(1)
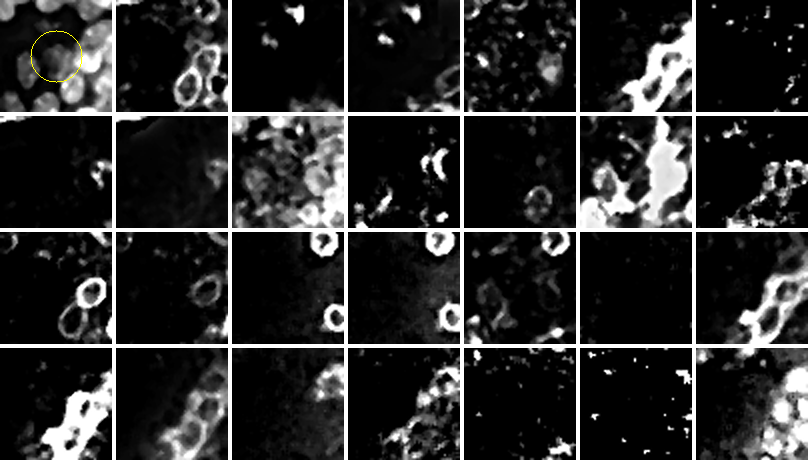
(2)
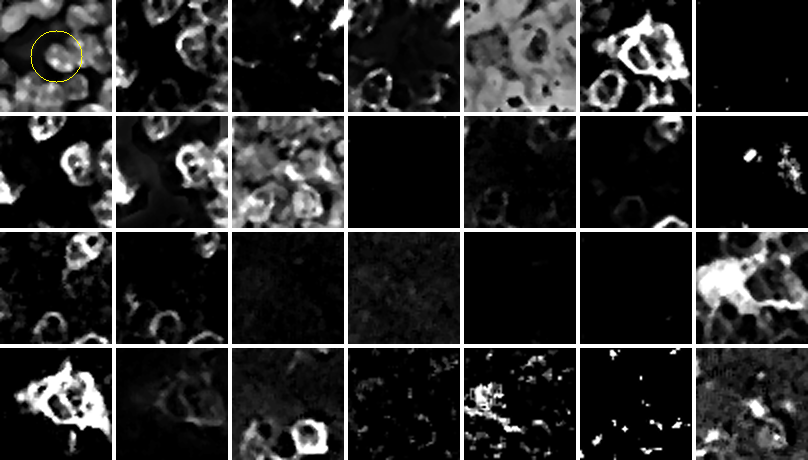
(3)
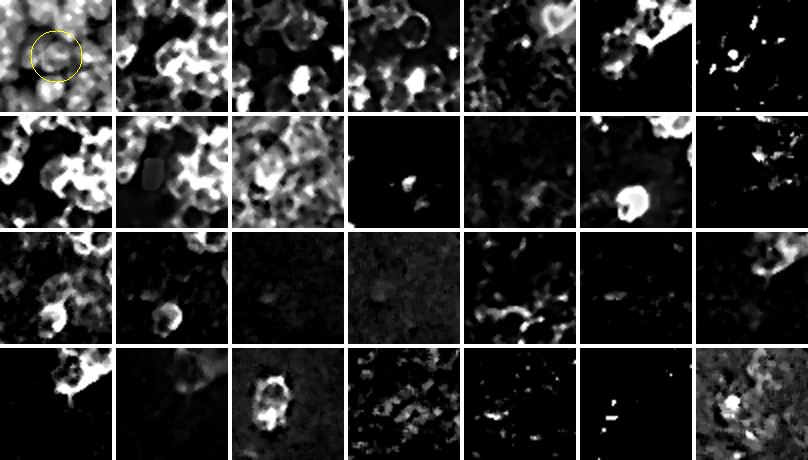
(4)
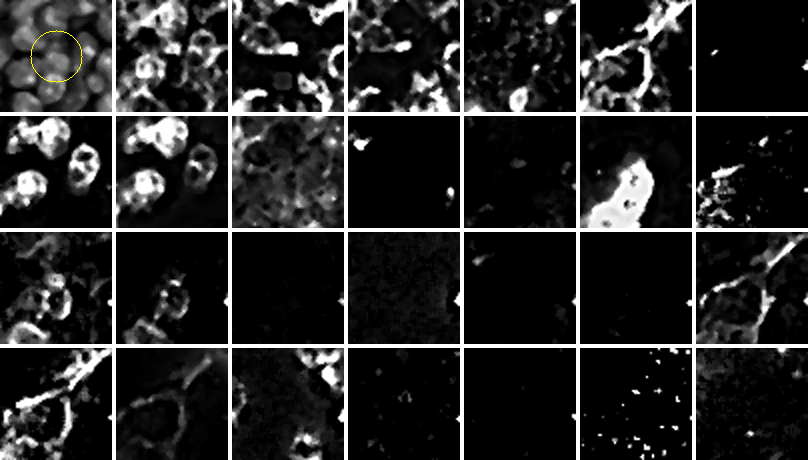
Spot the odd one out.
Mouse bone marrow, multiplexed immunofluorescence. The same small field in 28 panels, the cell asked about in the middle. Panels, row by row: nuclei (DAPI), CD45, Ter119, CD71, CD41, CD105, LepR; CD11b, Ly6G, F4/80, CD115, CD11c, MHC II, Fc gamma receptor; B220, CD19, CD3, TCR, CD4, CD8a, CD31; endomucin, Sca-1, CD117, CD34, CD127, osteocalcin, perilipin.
Picture 3 (an erythroid progenitor (CFU-E) among capillary endothelial cells).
